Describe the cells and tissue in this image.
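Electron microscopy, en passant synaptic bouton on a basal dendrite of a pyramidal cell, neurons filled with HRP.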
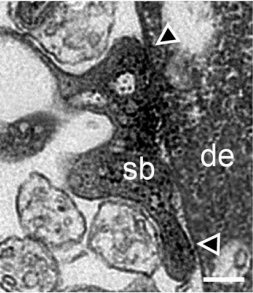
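Two arrowheads mark the ends of the zone where the two membranes are apposed. Around them lie cross-sections of many small neuropil profiles.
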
